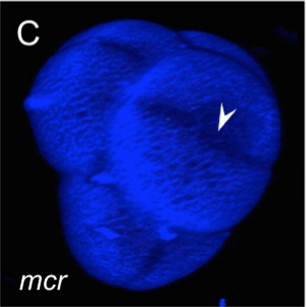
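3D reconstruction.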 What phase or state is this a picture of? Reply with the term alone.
Tetrad.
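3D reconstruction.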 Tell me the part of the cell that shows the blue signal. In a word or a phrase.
early exine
